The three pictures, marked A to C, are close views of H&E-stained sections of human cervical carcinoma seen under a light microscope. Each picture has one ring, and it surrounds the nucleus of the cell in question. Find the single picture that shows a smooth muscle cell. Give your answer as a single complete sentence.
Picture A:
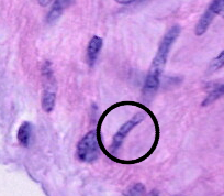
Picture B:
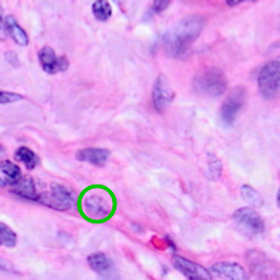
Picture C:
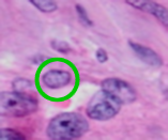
The picture with the smooth muscle cell is A.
